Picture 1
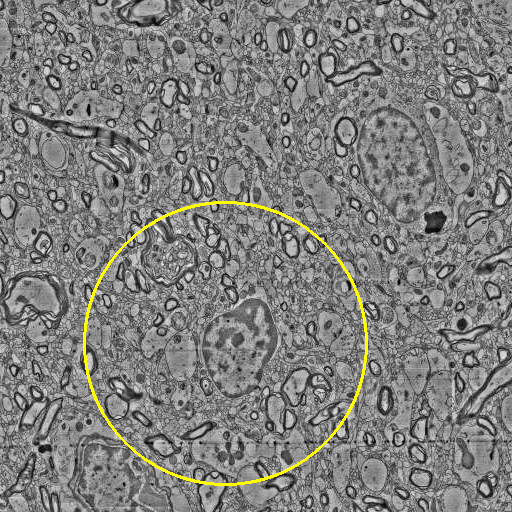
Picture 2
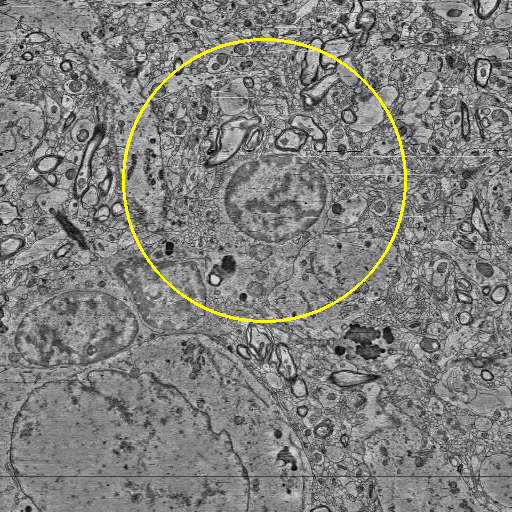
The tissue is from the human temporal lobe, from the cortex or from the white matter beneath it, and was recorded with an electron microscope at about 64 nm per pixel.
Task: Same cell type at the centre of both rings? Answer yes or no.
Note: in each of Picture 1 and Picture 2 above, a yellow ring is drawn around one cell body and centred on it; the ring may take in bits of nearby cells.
no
